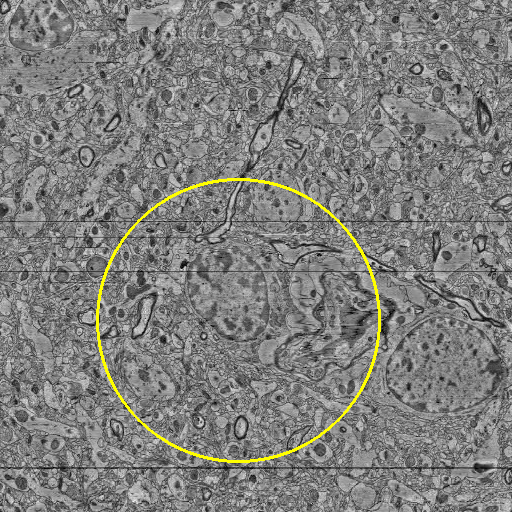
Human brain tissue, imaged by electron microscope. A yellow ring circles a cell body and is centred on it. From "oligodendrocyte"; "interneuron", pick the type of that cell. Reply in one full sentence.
The cell body at the centre of the yellow ring belongs to an oligodendrocyte.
